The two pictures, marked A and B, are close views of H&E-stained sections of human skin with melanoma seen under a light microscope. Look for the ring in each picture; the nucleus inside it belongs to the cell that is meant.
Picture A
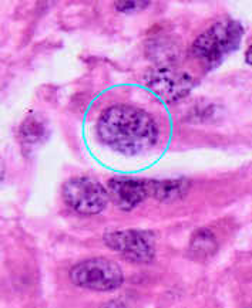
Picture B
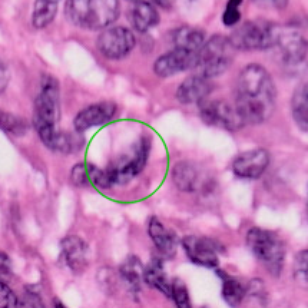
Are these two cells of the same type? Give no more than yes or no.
yes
